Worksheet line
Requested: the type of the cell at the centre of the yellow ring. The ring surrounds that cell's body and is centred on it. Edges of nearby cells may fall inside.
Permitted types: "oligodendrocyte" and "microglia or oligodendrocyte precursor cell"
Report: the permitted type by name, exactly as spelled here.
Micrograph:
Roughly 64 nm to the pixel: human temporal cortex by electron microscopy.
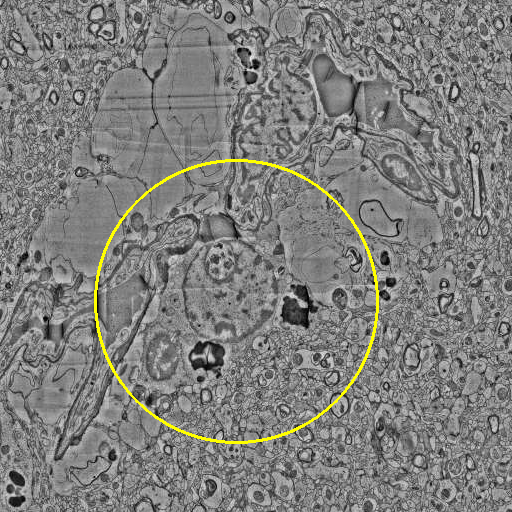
oligodendrocyte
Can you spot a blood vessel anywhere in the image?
Yes, the image shows a blood vessel.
